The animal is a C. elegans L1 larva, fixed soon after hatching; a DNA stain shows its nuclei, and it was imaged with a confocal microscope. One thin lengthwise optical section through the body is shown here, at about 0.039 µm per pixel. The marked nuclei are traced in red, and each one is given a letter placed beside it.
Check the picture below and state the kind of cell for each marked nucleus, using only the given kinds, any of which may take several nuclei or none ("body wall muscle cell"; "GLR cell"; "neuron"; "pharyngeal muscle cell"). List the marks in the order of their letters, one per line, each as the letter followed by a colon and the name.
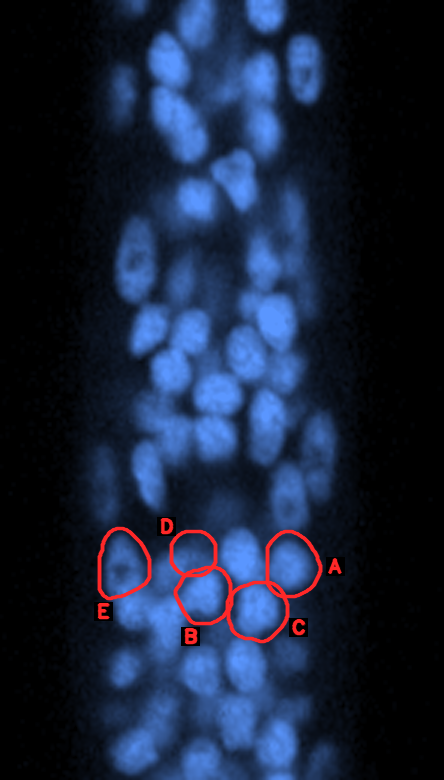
A: neuron
B: neuron
C: neuron
D: GLR cell
E: body wall muscle cell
